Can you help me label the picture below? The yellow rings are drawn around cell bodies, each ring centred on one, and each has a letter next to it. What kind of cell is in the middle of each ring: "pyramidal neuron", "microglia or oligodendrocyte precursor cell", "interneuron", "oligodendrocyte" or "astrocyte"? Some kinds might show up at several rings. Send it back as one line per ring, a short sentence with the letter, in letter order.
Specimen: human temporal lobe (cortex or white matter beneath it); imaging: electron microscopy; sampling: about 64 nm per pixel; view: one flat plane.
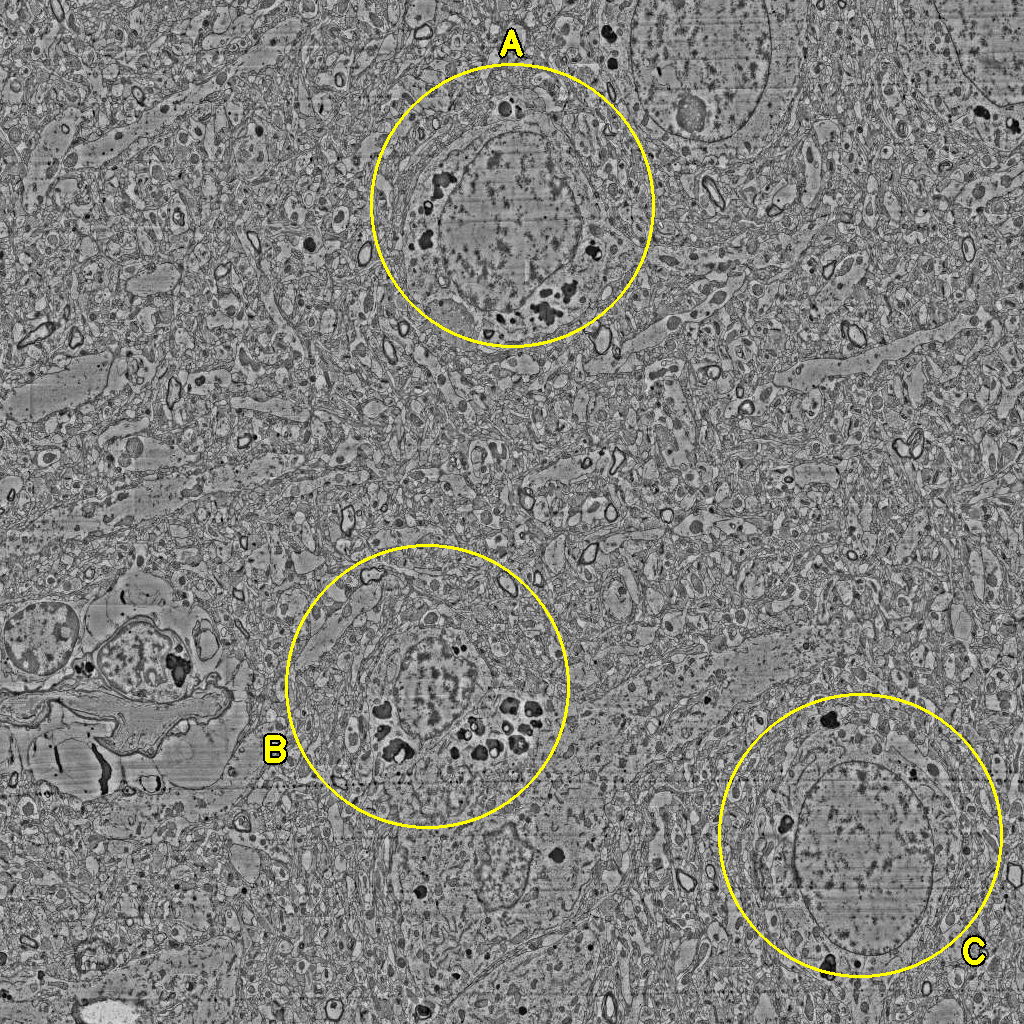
Ring A has an interneuron in the middle.
Ring B has an interneuron in the middle.
Ring C has a pyramidal neuron in the middle.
